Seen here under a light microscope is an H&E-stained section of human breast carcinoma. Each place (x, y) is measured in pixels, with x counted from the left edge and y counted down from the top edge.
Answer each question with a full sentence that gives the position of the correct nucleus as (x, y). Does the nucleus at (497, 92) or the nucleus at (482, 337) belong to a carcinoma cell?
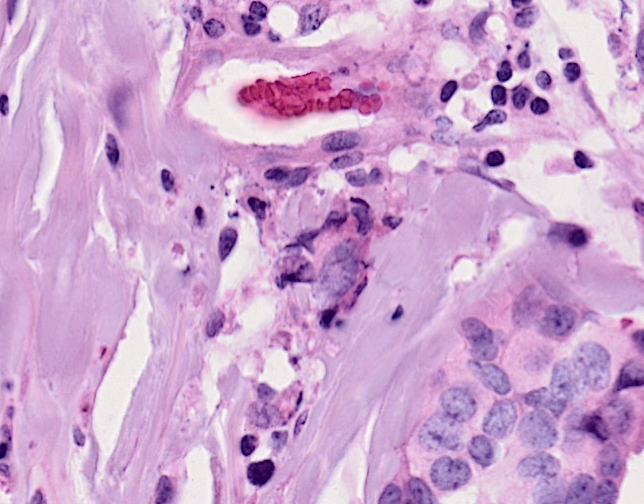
The one at (482, 337) is the nucleus belonging to a carcinoma cell, not the other one.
